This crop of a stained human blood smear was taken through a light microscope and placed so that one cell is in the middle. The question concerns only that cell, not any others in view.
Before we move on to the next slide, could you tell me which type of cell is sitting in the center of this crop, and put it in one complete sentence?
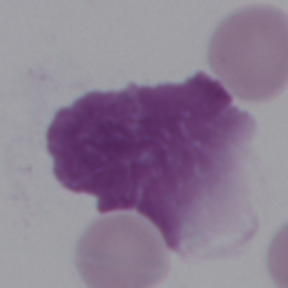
The central cell in this smear crop is a smudge cell.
